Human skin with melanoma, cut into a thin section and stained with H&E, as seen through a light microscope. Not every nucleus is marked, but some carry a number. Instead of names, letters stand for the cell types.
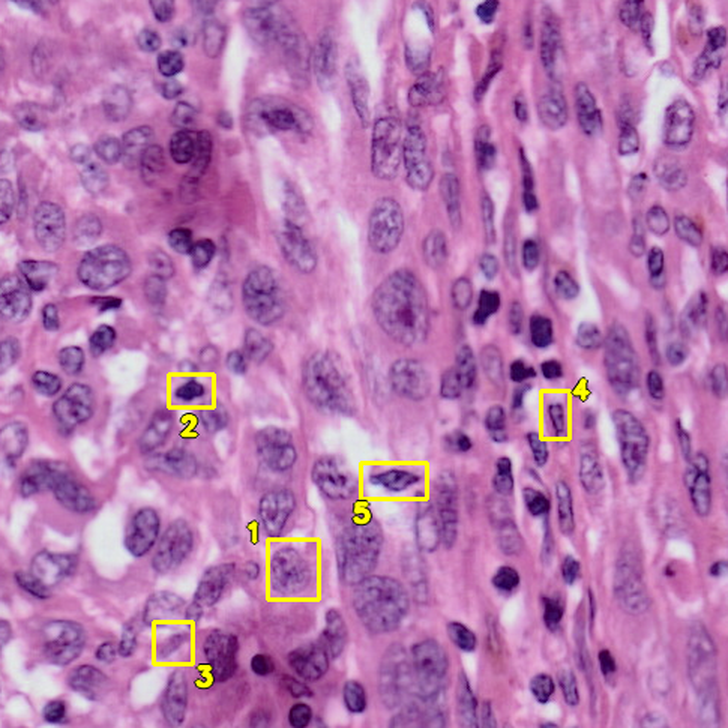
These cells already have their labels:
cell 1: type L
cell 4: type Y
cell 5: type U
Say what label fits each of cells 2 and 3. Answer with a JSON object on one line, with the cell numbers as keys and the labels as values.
{"2": "type U", "3": "type L"}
